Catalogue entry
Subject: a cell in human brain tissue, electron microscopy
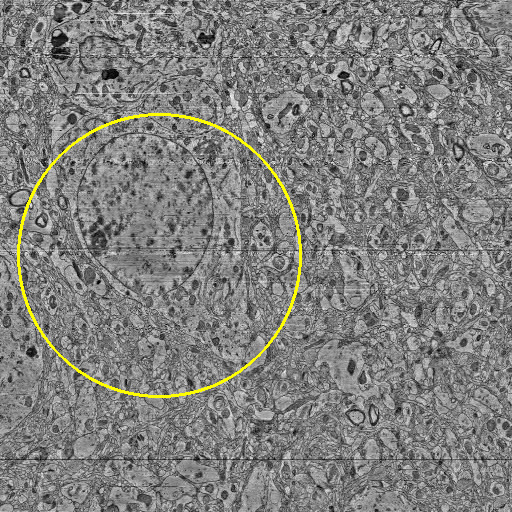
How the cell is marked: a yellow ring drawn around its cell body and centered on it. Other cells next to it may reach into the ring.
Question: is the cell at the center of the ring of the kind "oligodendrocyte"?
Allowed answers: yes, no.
no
